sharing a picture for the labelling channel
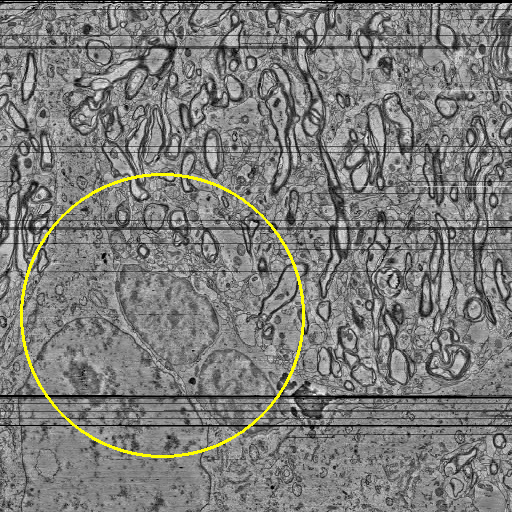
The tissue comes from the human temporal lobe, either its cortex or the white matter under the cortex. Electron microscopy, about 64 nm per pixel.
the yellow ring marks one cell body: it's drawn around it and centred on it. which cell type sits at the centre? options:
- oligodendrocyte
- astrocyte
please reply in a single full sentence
In the picture, the cell at the ring's centre is an oligodendrocyte, going by the list.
